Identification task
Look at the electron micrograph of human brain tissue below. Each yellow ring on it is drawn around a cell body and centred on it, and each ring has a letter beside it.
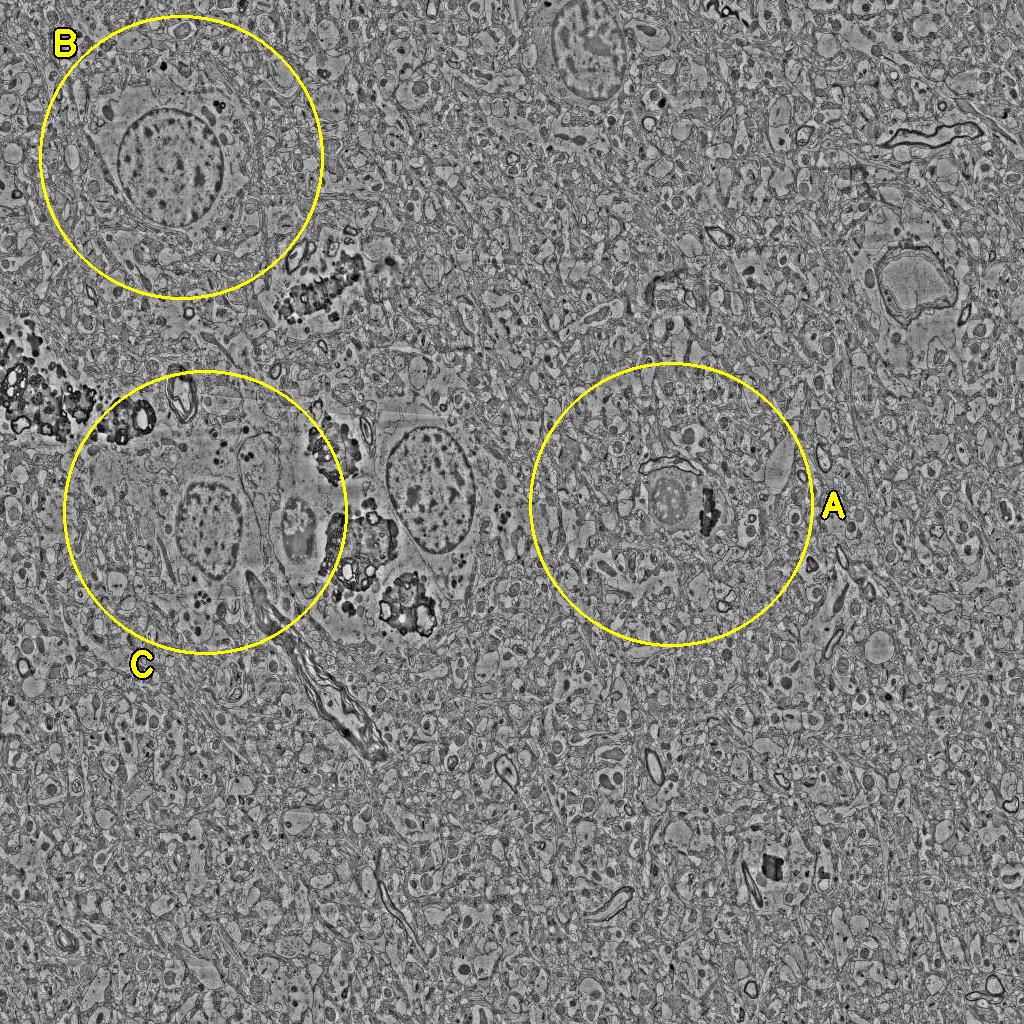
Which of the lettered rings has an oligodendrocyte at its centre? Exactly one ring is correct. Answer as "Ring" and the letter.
Ring A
